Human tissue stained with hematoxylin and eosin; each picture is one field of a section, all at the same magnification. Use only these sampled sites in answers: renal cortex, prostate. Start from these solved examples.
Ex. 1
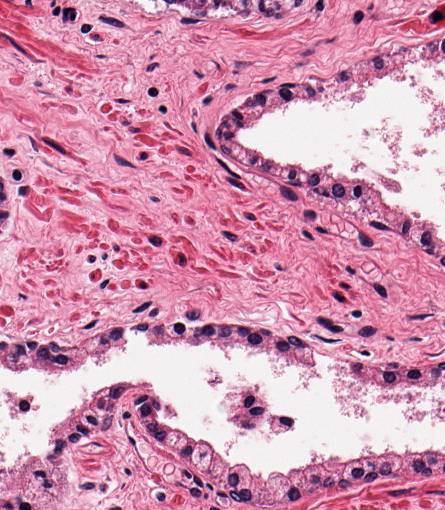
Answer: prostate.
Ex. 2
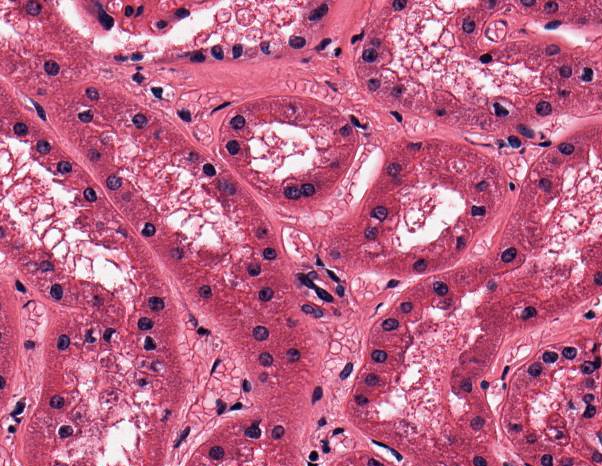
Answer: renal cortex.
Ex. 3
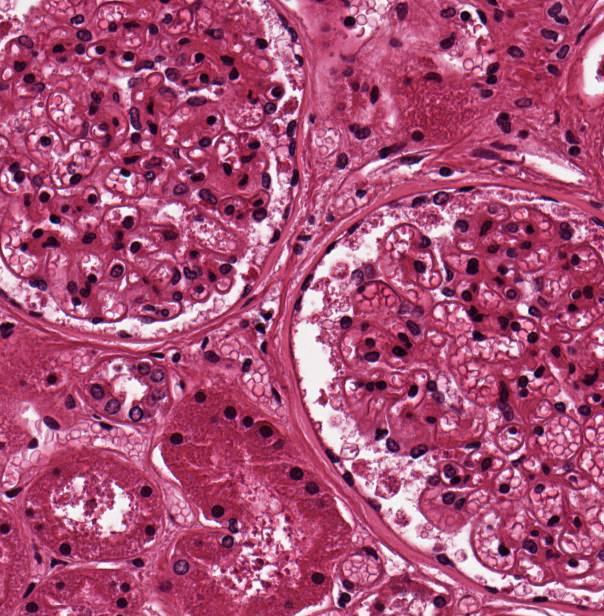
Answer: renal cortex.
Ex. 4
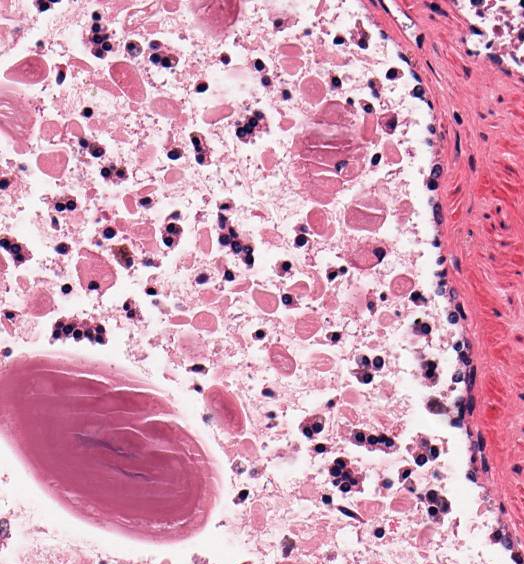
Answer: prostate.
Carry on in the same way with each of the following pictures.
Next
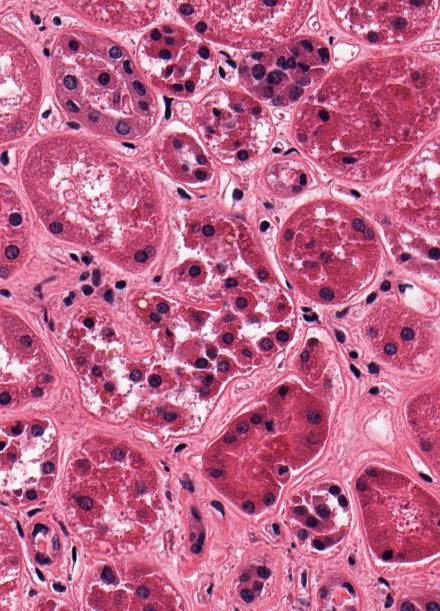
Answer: renal cortex.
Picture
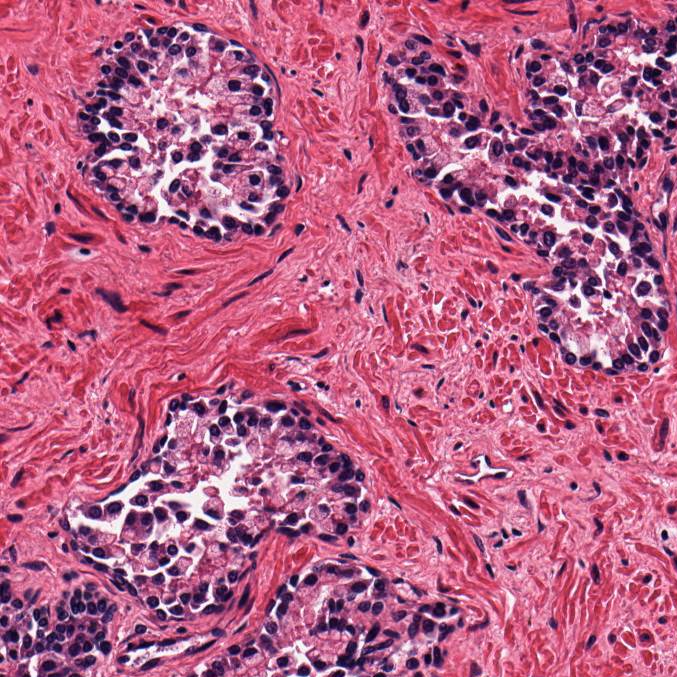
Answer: prostate.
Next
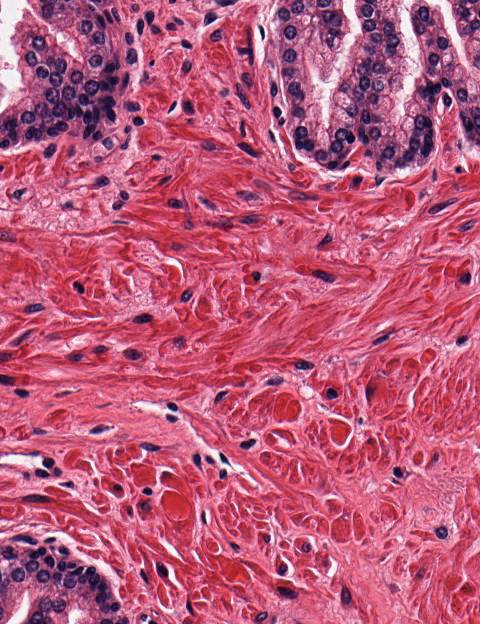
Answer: prostate.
